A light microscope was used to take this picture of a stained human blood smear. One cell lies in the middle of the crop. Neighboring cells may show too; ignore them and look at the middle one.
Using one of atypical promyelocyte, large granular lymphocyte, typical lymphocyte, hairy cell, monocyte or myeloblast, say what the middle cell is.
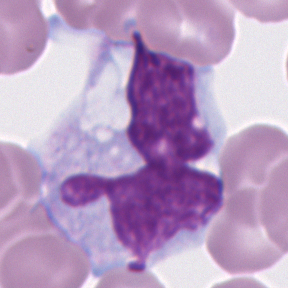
monocyte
